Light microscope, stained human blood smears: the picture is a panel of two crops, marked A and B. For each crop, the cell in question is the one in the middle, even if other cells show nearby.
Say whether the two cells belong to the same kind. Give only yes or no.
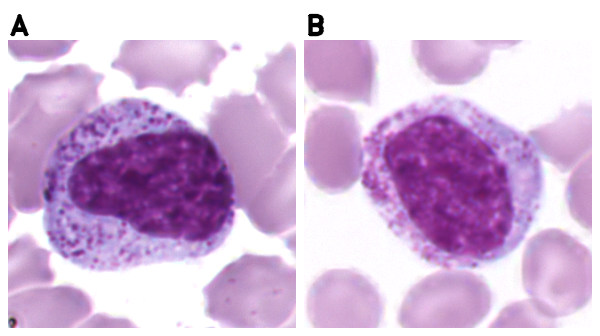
yes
